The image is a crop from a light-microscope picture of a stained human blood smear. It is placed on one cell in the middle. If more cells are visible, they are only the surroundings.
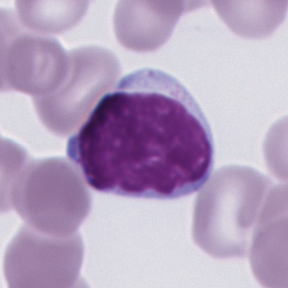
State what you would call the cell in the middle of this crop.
large granular lymphocyte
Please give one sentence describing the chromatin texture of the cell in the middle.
This nucleus has coarsely clumped chromatin.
